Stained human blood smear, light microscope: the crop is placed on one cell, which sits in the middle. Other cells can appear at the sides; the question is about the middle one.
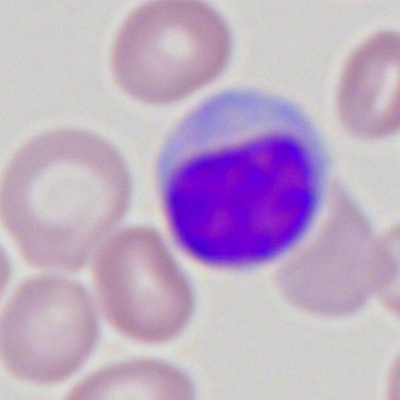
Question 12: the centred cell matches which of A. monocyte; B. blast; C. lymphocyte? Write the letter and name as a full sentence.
The correct choice is option C, which identifies the middle cell as a lymphocyte.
